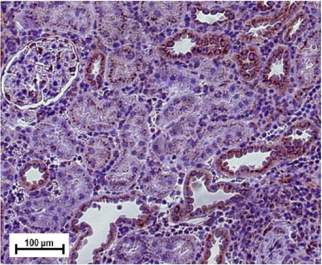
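This is kidney cortex with cross-sectioned tubules and a glomerulus at the upper left. Many tubular epithelial cells show granular brown cytoplasmic staining around open lumina, and their nuclei are blue. The interstitium between the tubules is crowded with small blue nuclei.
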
